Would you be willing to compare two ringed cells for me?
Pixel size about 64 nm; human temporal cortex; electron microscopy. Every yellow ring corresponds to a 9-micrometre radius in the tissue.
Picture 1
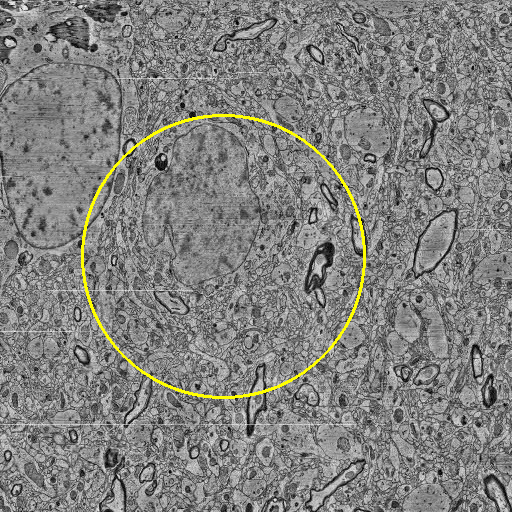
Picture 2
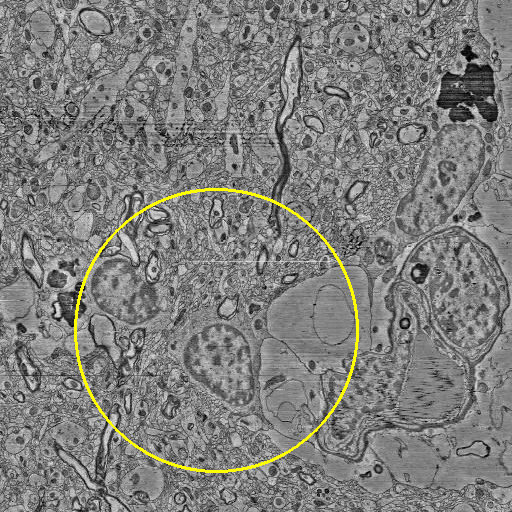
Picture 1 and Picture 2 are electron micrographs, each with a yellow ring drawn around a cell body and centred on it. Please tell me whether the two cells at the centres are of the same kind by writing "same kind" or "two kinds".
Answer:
two kinds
